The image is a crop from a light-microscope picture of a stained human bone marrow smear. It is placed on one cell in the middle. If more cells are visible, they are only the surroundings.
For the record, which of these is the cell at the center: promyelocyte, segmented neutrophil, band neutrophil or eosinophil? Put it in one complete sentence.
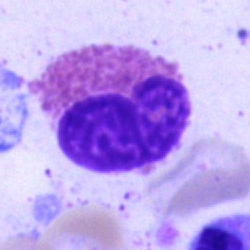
Present in the middle of the crop is an eosinophil.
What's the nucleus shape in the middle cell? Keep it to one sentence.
You can count two or more lobes in this nucleus.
